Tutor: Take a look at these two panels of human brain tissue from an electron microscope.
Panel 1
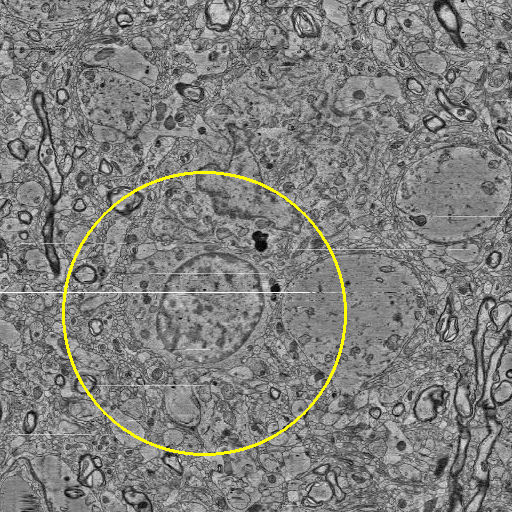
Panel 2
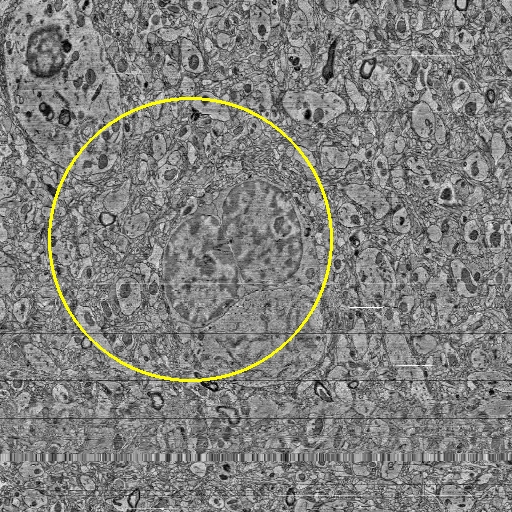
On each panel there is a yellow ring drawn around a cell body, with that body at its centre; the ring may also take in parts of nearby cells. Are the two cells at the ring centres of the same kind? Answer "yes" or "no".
yes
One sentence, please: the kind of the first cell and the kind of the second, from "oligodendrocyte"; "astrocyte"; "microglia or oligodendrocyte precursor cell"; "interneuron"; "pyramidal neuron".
Each one of the two ringed cells is an oligodendrocyte.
